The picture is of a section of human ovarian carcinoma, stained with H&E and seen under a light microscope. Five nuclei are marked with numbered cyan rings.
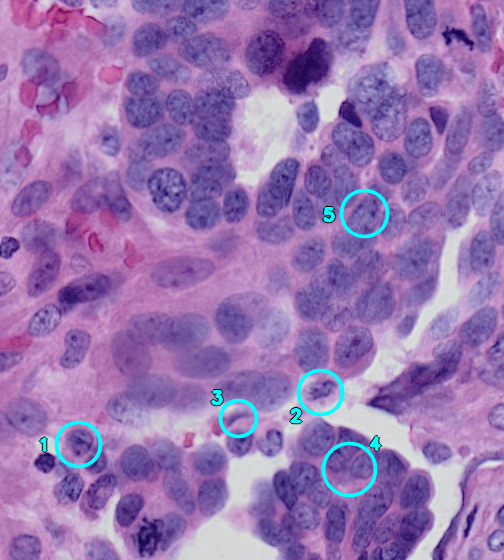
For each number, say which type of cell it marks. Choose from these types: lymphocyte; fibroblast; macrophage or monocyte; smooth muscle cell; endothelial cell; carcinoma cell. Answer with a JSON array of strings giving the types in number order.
["macrophage or monocyte", "macrophage or monocyte", "macrophage or monocyte", "carcinoma cell", "carcinoma cell"]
